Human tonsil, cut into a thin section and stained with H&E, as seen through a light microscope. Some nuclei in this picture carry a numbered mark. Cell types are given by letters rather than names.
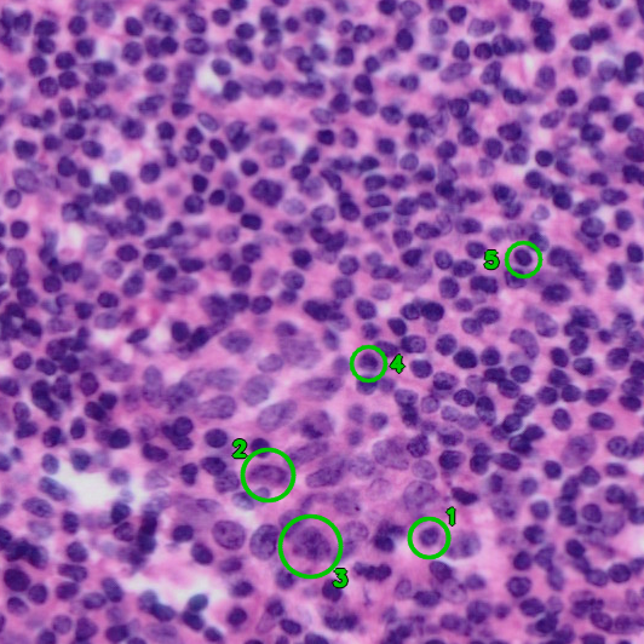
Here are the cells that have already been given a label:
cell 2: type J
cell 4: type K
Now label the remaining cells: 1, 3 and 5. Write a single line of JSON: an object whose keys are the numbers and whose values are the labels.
{"1": "type J", "3": "type J", "5": "type K"}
